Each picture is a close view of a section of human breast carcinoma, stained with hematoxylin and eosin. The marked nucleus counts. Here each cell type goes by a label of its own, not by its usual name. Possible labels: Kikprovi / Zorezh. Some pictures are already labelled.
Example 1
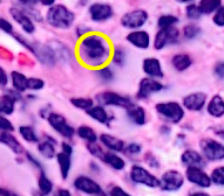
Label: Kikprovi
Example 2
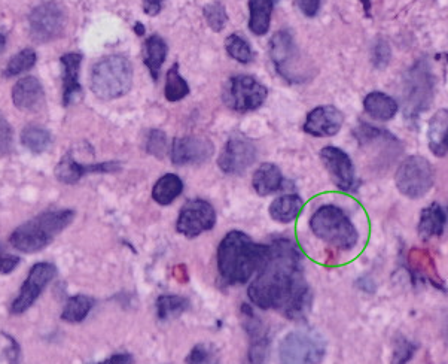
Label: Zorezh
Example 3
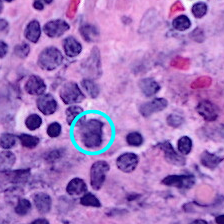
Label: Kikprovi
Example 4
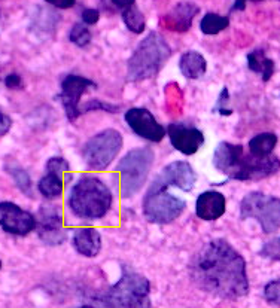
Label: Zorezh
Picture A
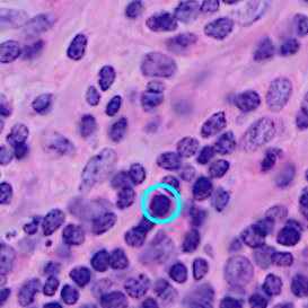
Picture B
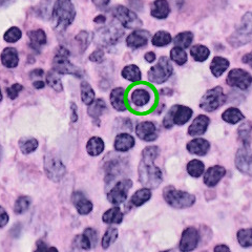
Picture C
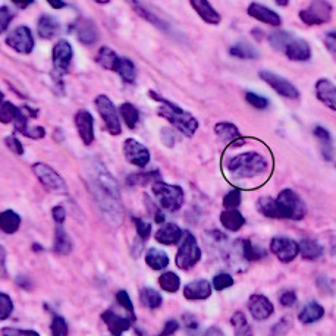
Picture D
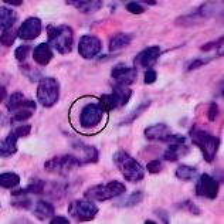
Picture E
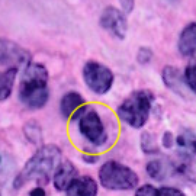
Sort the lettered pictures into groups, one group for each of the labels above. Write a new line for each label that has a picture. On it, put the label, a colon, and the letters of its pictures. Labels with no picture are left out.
Kikprovi: A, B, C, D, E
